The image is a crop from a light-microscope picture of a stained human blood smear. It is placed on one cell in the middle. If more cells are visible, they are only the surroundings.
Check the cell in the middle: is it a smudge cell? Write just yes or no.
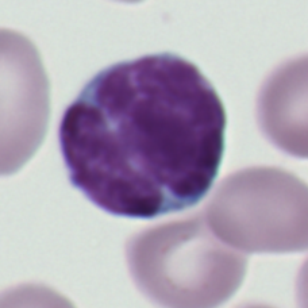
no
